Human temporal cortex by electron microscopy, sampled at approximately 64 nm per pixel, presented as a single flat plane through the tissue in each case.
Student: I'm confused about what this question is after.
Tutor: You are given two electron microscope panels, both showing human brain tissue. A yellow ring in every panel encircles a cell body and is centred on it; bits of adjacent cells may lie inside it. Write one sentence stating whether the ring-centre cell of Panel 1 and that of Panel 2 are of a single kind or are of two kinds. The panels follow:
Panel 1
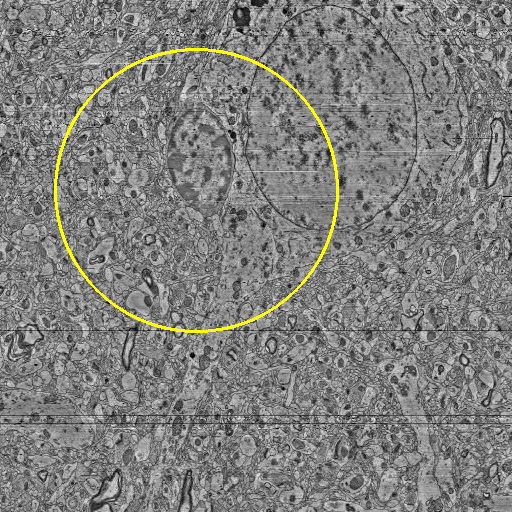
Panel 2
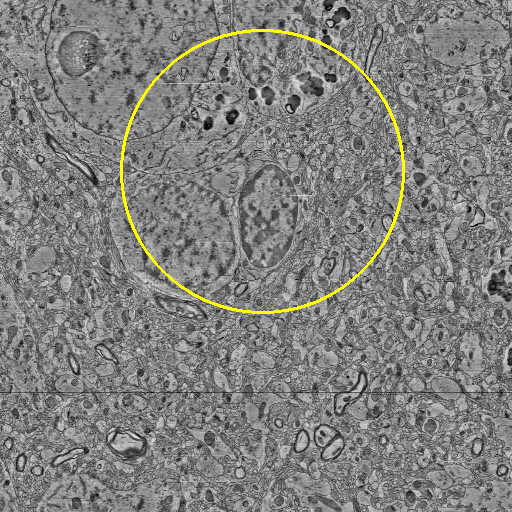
Here, the Panel 1 ring-centre cell and the Panel 2 ring-centre cell are of two kinds.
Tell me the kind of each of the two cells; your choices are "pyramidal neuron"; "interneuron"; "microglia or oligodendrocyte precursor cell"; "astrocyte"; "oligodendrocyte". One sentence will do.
The ringed cell is an oligodendrocyte in the first picture and a microglial cell or oligodendrocyte precursor cell in the second picture.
